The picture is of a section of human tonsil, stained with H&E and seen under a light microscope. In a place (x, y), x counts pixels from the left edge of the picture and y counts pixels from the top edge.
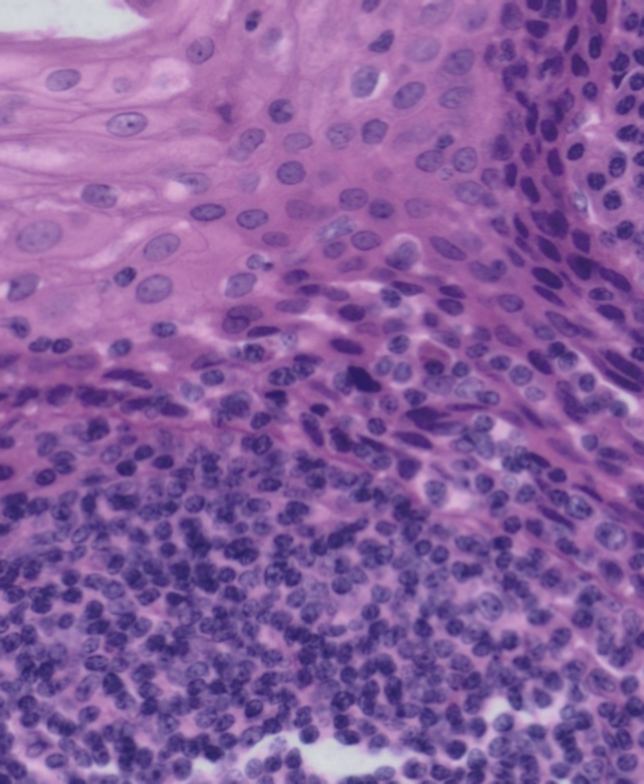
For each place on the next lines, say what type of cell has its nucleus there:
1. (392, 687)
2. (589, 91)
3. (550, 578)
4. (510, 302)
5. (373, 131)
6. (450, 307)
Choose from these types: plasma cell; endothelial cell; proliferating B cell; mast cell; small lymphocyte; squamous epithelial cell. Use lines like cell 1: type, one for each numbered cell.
cell 1: small lymphocyte
cell 2: plasma cell
cell 3: plasma cell
cell 4: squamous epithelial cell
cell 5: squamous epithelial cell
cell 6: squamous epithelial cell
